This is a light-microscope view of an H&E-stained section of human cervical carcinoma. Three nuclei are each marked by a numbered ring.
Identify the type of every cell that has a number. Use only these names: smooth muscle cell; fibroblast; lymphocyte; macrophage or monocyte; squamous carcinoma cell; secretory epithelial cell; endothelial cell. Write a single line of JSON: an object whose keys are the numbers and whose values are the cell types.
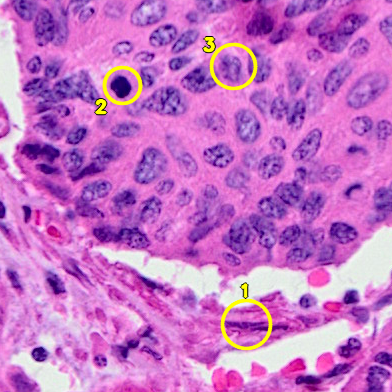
{"1": "fibroblast", "2": "squamous carcinoma cell", "3": "squamous carcinoma cell"}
